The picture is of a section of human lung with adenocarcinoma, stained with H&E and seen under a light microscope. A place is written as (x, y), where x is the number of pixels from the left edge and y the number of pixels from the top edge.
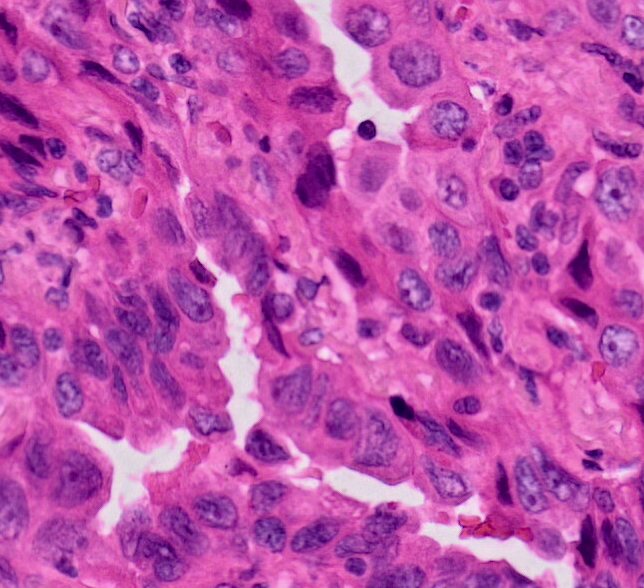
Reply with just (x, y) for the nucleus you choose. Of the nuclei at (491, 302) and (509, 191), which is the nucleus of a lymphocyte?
(491, 302)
